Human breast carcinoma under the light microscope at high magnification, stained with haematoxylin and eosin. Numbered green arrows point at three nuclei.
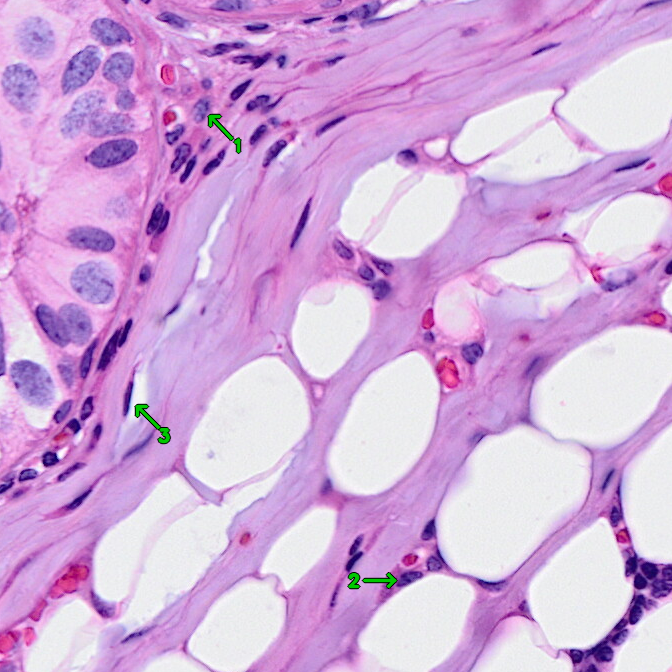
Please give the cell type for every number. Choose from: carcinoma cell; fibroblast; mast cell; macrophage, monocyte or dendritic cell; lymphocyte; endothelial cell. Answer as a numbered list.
1. endothelial cell
2. endothelial cell
3. fibroblast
